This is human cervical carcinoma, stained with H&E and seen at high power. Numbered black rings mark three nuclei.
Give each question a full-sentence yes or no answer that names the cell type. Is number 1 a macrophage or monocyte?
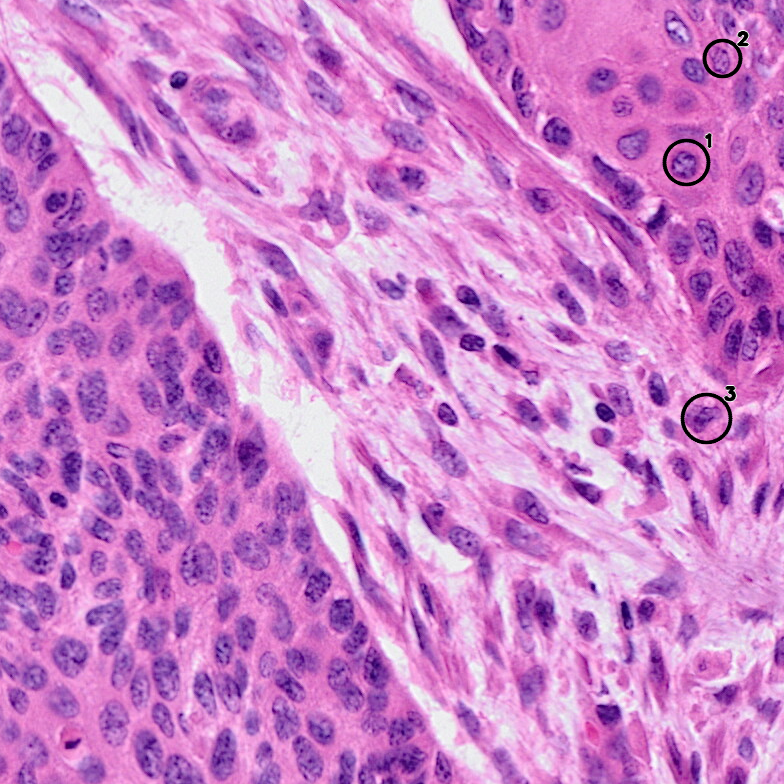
No, the marker 1 sits on a squamous carcinoma cell, not on a macrophage or monocyte.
